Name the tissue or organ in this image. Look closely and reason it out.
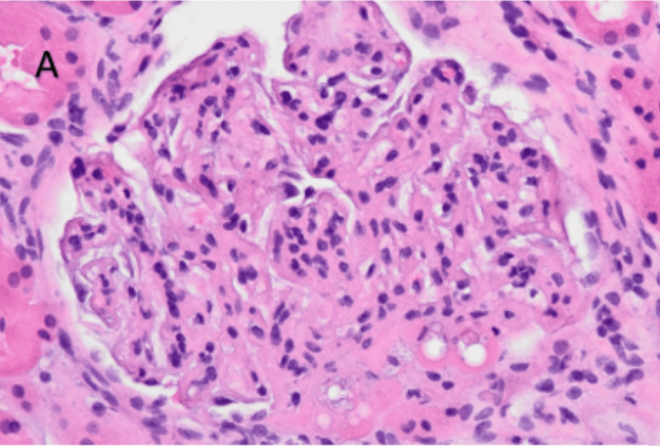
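A rounded, lobulated tuft of capillary loops fills the centre. A thin space and capsule surround the tuft, with tubules outside.
Hence: glomerulus.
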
